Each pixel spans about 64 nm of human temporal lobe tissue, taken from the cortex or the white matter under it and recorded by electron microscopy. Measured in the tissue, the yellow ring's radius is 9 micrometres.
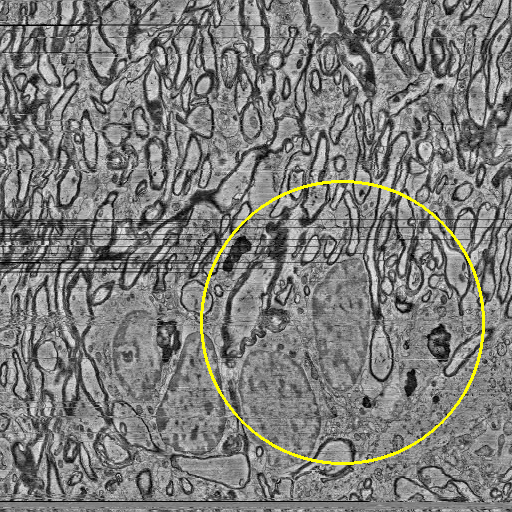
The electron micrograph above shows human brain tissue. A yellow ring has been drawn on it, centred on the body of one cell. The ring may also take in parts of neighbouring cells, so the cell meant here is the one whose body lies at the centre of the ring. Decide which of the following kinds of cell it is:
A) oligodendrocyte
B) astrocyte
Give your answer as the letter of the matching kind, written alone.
A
